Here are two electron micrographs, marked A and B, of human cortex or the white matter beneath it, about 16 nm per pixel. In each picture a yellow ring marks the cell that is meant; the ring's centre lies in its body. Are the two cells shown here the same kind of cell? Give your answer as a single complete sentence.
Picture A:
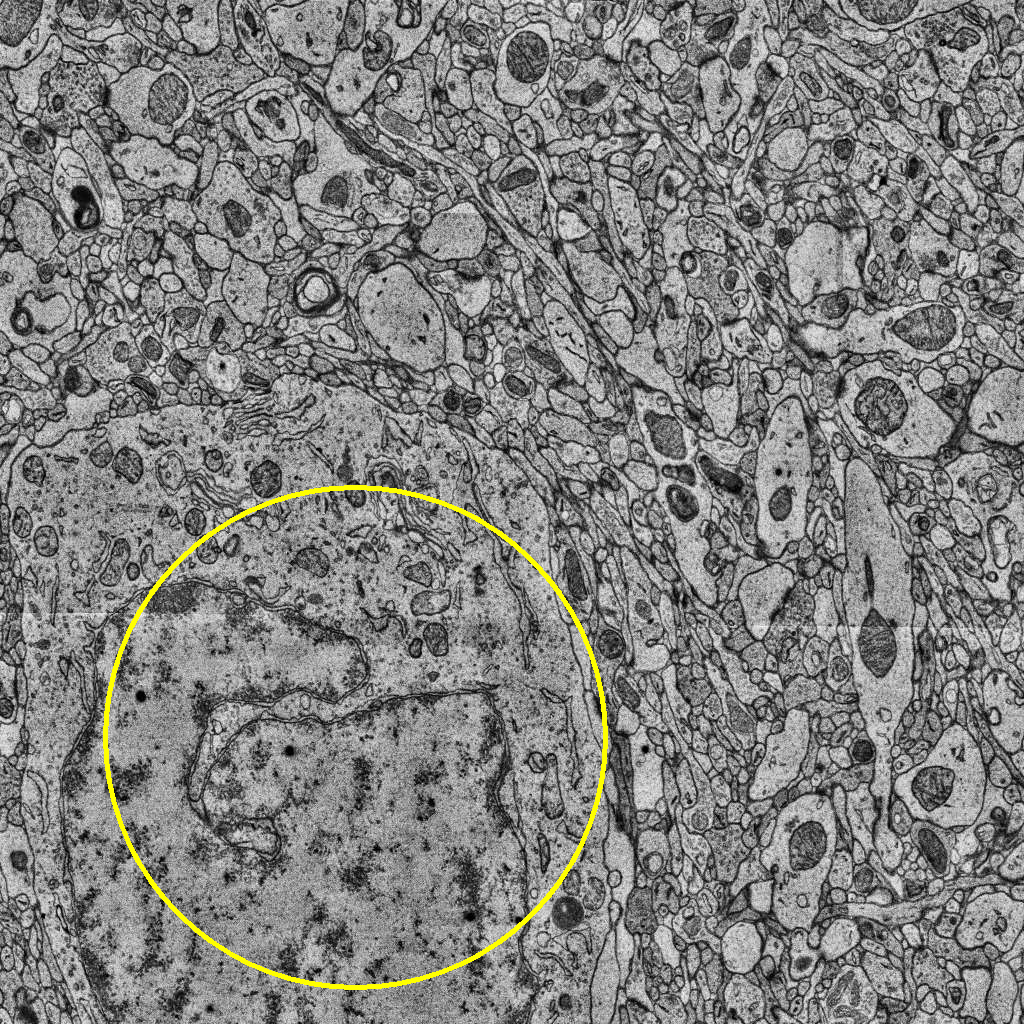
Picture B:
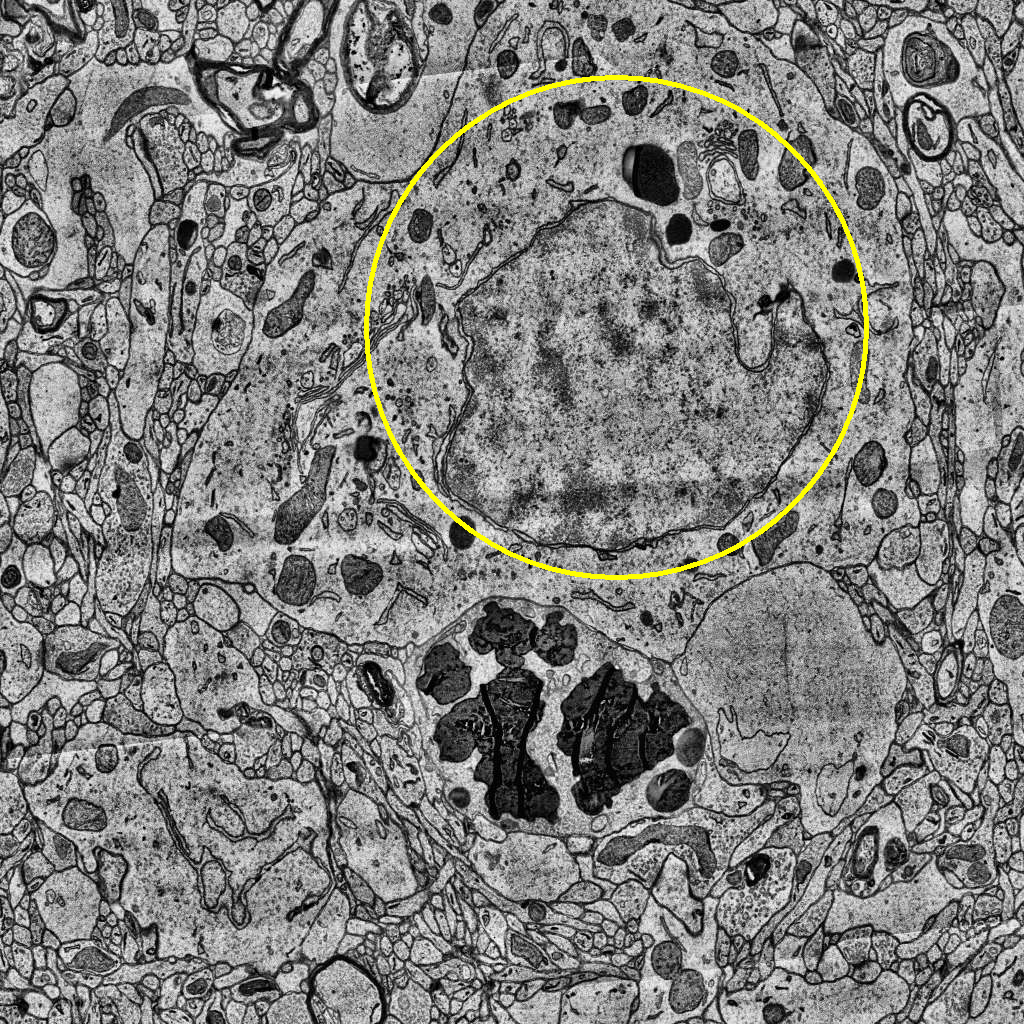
Yes, the two pictures both show interneurons.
